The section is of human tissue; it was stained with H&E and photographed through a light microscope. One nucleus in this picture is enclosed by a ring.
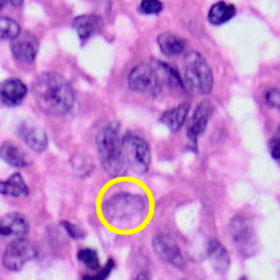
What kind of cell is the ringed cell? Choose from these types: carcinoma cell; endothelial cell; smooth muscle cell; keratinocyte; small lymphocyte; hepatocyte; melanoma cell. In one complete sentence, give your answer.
In terms of identity, the ringed cell is a melanoma cell.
